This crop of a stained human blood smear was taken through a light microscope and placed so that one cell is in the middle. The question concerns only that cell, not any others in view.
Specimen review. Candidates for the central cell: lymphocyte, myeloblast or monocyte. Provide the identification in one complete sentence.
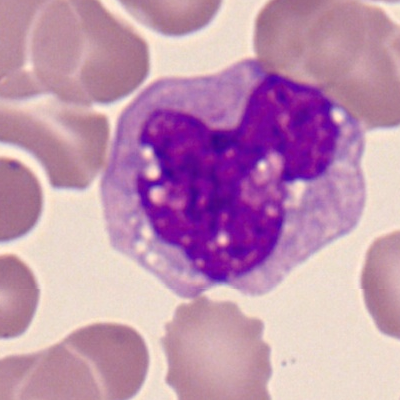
Here the centrally located cell is a monocyte.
